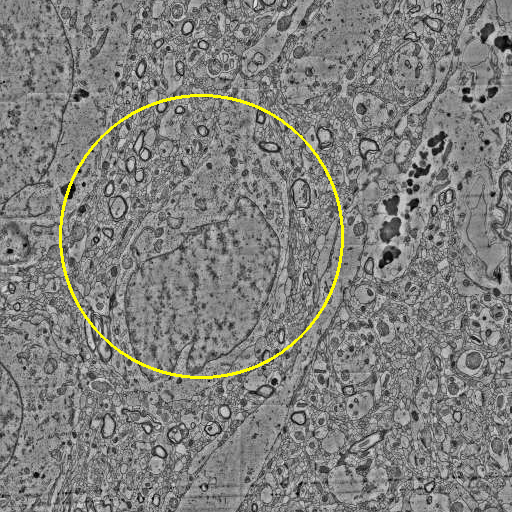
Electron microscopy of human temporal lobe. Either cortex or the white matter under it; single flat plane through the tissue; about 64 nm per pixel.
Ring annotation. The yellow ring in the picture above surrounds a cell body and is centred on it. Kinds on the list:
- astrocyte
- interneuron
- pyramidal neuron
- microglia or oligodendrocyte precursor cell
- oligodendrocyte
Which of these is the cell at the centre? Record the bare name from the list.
interneuron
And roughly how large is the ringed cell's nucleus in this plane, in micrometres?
About 13 by 8 micrometres; in this plane the nucleus is clearly longer than it is wide.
